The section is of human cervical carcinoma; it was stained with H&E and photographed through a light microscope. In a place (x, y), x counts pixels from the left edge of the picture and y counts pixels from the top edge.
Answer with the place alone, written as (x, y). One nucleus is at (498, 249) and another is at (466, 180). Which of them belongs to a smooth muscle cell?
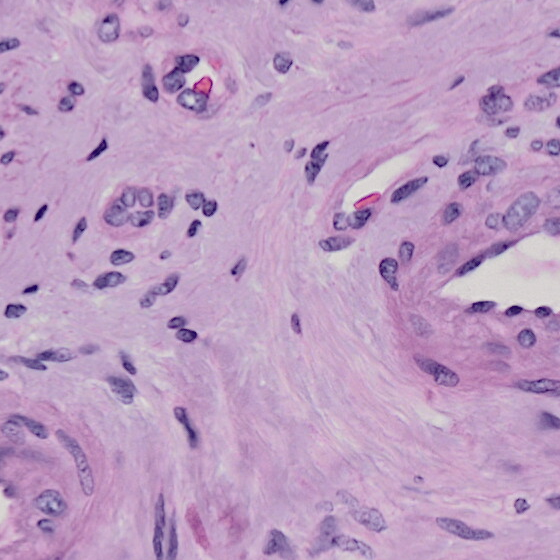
(466, 180)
